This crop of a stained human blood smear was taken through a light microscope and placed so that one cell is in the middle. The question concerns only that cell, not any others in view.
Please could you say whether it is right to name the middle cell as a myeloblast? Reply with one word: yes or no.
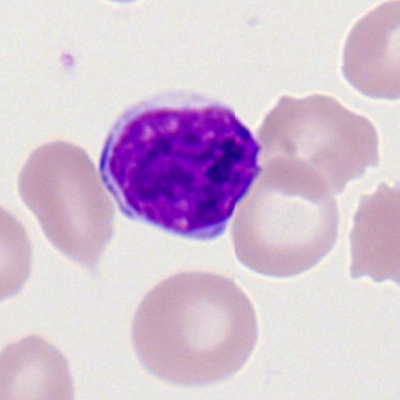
no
